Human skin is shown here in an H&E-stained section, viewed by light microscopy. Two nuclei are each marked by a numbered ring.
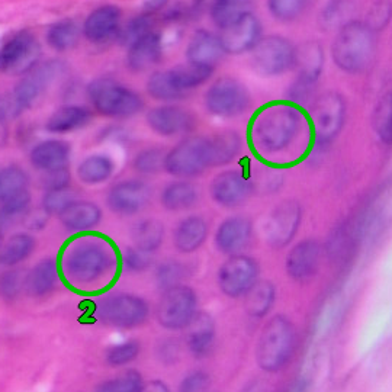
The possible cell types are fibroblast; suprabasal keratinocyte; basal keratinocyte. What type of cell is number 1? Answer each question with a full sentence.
Among the marked cells, number 1 is a suprabasal keratinocyte.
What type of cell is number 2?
The correct answer for cell 2 is a basal keratinocyte.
